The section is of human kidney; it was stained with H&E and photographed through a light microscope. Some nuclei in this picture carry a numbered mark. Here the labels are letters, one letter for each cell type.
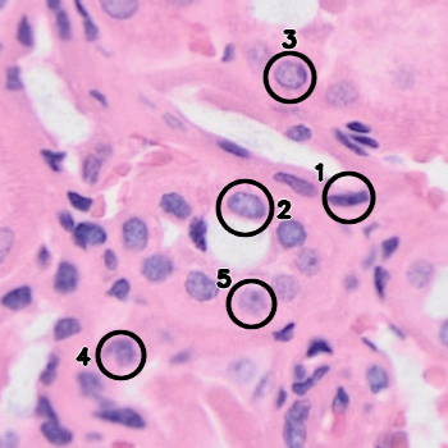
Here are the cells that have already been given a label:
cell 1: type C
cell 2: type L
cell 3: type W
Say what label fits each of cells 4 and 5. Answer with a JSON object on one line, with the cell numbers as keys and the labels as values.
{"4": "type C", "5": "type L"}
